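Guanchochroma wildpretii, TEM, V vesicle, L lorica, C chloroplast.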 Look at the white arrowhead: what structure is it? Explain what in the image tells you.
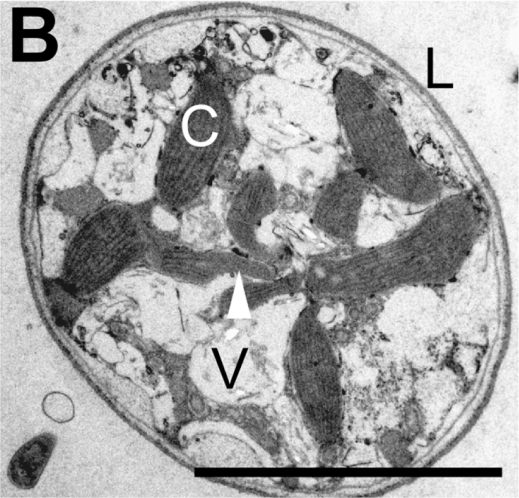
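The arrowhead points to the narrow end of an elongated plastid. That points to this answer: terminal elongations without thylakoids.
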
